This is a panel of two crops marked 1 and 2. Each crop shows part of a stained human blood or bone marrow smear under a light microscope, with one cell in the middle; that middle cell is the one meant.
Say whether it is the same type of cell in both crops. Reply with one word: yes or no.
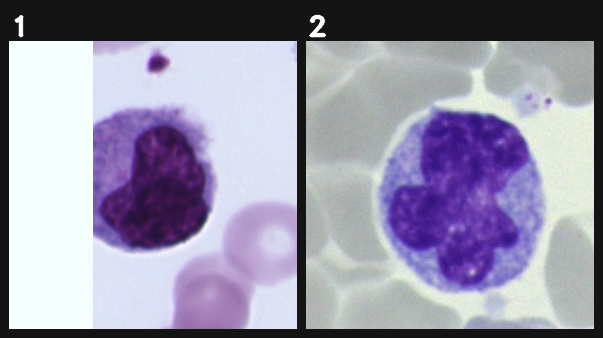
yes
